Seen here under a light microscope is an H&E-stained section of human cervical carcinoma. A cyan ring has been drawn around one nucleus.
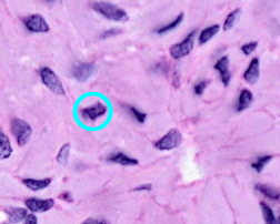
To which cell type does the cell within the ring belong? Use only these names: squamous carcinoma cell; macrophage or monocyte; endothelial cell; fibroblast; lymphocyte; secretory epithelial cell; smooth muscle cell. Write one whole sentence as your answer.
With respect to cell type, the cell within the ring is a fibroblast.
